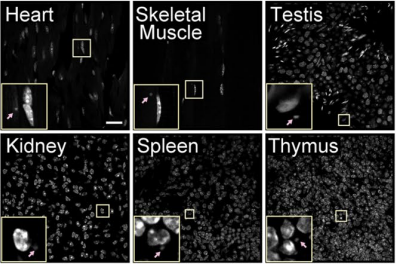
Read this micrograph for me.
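Six tissue sections in which only nuclei are stained, bright white on black. In heart and skeletal muscle the nuclei are sparse and elongated, lying along the fibres. Testis, kidney and spleen show many more round nuclei, and thymus is packed most densely with small round nuclei. In every tissue a box marks a spot enlarged in an inset, where a tiny round bright body, a micronucleus, lies next to a much larger main nucleus, pointed to by an arrow.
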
